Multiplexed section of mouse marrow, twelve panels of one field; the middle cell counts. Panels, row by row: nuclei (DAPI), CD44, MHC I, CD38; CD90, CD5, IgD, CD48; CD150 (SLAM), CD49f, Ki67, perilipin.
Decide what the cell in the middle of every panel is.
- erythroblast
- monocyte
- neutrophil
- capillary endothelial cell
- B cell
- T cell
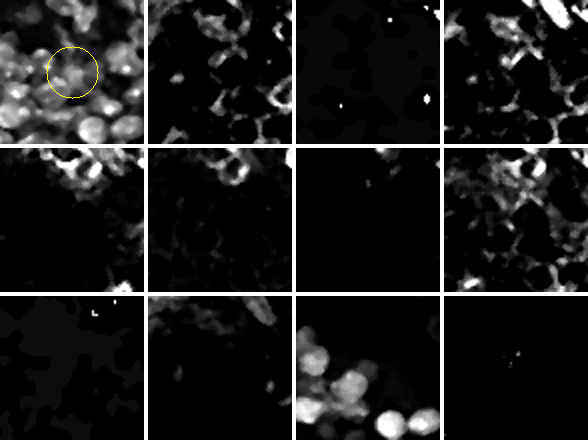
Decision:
erythroblast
